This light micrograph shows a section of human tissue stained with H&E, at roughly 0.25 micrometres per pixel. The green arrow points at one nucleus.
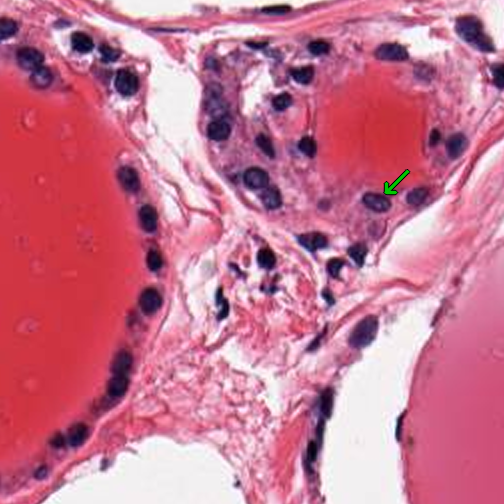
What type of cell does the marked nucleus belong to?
thyroid follicular cell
